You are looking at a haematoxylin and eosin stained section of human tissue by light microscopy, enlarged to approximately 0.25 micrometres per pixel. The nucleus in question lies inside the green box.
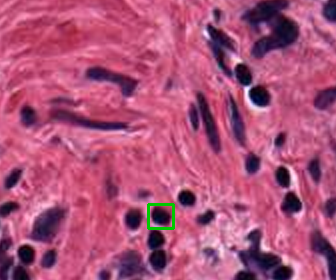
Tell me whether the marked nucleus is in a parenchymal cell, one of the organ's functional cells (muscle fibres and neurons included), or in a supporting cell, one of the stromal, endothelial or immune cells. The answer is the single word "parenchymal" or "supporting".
supporting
